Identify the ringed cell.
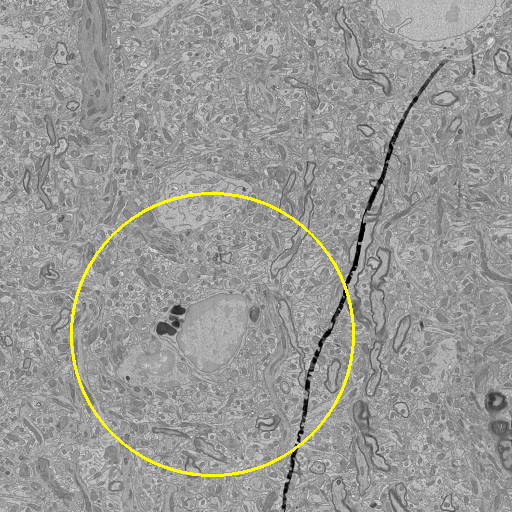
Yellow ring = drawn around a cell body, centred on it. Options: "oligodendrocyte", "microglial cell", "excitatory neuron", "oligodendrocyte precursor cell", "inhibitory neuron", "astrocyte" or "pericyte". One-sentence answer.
What the ring is centred on is a microglial cell.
